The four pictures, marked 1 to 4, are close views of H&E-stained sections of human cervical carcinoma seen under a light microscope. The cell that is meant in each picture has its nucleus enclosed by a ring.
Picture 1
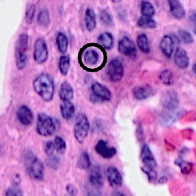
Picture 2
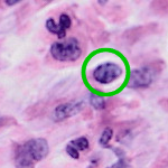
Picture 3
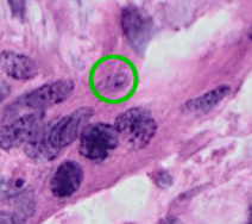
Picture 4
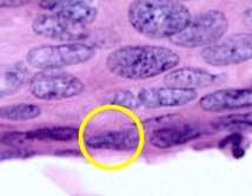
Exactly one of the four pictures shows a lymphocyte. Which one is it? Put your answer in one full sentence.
It is picture 2 that shows the lymphocyte.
